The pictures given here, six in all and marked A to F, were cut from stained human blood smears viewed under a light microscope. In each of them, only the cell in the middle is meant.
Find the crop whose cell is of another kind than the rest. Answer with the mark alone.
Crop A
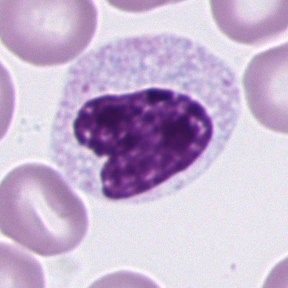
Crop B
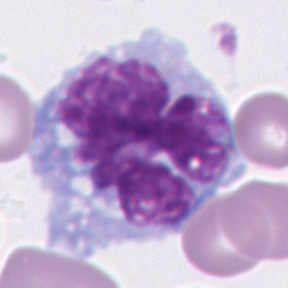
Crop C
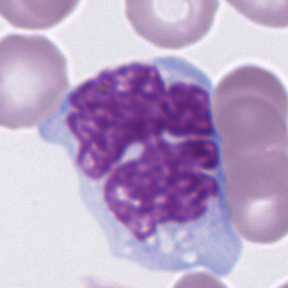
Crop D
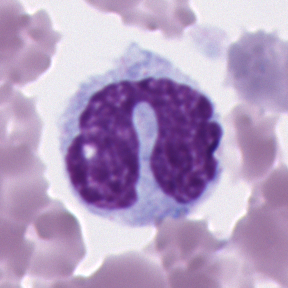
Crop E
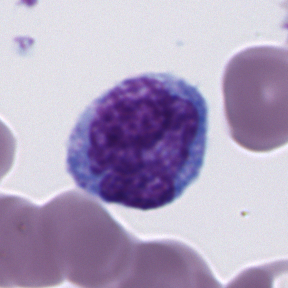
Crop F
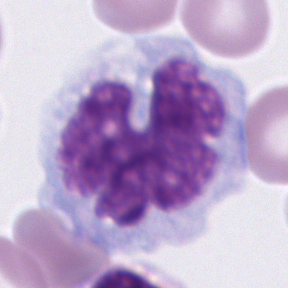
A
